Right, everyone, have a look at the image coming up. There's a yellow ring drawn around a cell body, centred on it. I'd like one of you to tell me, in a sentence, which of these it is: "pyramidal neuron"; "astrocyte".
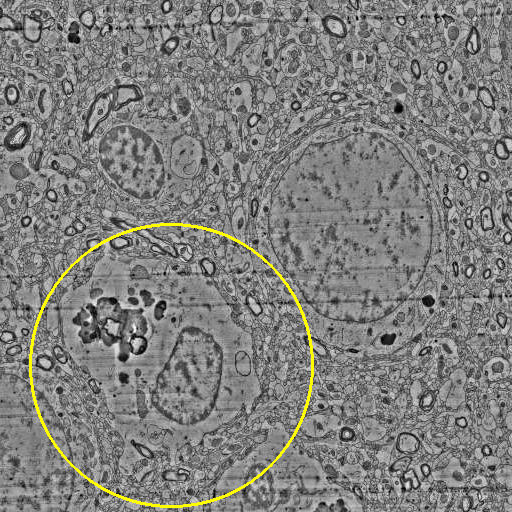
The yellow ring sits on an astrocyte.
